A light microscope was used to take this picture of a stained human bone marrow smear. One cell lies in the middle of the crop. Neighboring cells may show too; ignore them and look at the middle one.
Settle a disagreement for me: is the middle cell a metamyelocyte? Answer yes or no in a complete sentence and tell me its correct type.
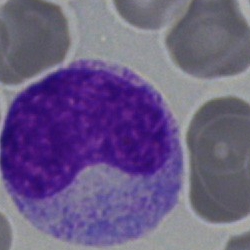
Yes, in the middle of the crop is a metamyelocyte.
